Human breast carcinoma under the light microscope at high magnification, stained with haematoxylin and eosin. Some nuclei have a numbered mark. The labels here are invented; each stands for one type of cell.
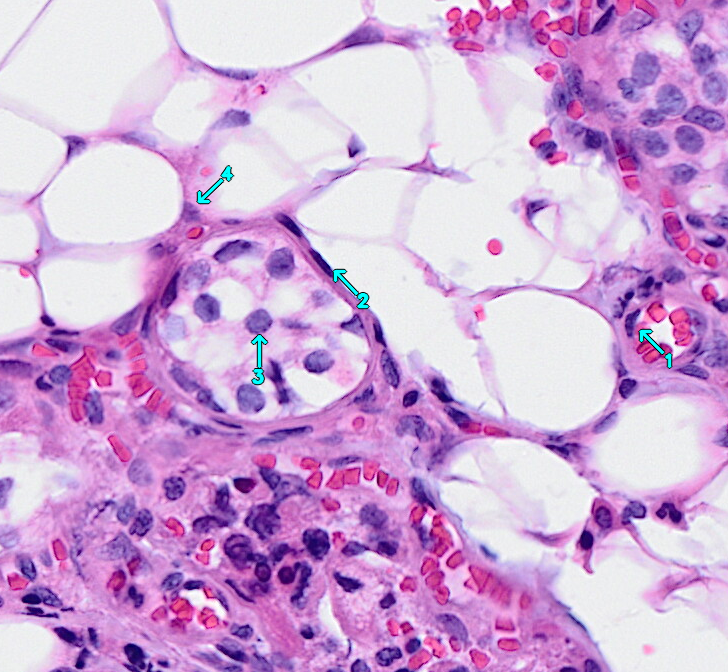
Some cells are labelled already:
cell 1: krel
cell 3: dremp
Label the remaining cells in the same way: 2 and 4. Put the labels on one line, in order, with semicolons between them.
krel; krel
